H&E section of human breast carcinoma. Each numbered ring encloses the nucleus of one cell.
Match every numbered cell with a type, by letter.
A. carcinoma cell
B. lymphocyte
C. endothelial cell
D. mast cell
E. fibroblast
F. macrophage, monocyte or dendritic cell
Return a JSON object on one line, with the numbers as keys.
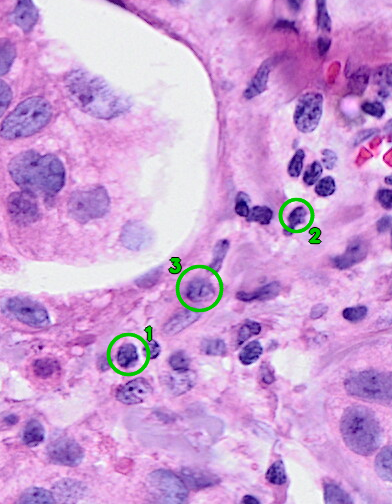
{"1": "B", "2": "B", "3": "C"}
